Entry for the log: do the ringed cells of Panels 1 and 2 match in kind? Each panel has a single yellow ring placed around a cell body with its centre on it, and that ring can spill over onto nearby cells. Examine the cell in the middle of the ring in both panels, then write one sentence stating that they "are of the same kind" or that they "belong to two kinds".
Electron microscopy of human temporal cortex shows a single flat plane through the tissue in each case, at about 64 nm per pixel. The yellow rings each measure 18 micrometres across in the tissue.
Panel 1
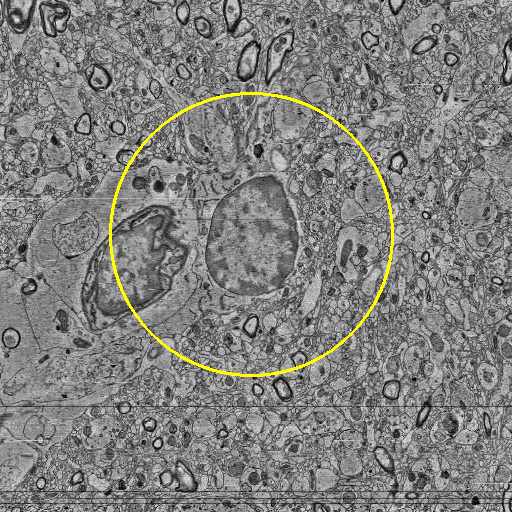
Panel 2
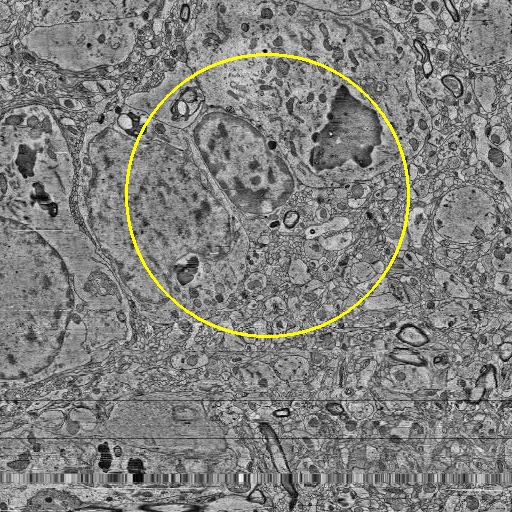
The centre cell of Panel 1's ring and that of Panel 2's ring are of the same kind.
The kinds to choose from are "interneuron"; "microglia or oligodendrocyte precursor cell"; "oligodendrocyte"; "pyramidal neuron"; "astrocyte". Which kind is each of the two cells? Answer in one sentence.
The second cell is a microglial cell or oligodendrocyte precursor cell, just as the first is.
